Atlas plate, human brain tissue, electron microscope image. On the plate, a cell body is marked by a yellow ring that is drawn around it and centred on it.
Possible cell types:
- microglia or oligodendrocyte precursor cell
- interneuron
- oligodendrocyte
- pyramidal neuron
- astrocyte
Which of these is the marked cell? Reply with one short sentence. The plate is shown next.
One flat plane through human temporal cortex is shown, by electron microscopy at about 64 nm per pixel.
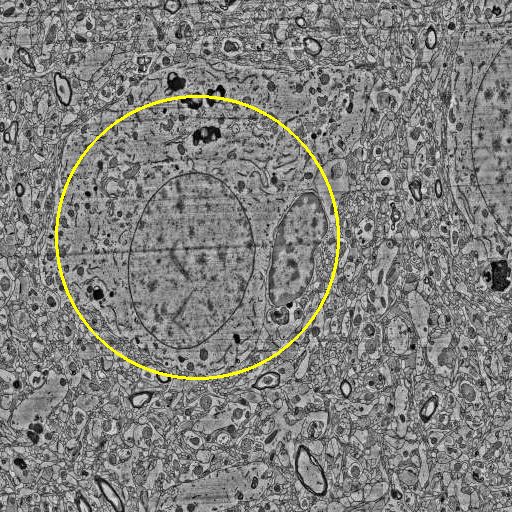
The marked cell is a pyramidal neuron.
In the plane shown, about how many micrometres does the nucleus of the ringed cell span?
Roughly 11 micrometres by 8 micrometres, in this plane.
